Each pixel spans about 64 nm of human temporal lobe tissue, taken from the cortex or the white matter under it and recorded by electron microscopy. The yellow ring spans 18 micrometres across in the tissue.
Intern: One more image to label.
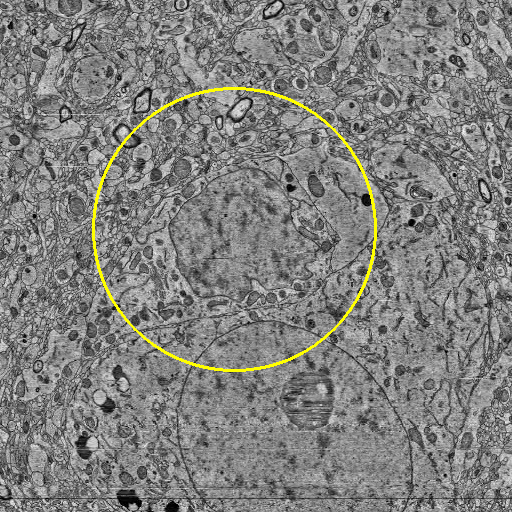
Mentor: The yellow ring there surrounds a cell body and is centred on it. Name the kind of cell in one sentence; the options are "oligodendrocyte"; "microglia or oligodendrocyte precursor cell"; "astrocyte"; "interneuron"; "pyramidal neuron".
The ring marks the cell body of an interneuron.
